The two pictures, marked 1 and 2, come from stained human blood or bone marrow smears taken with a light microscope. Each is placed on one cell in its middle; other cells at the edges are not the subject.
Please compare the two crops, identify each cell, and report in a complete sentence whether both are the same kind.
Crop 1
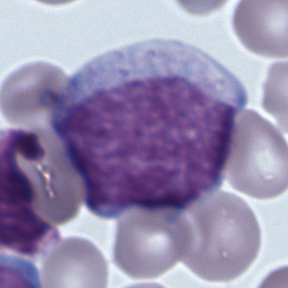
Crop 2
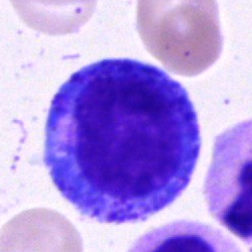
Yes, it is promyelocytes that occupy the middle of both crops.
